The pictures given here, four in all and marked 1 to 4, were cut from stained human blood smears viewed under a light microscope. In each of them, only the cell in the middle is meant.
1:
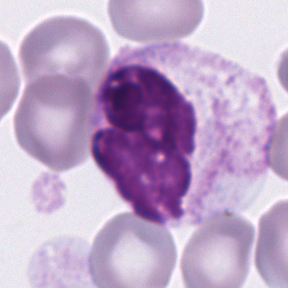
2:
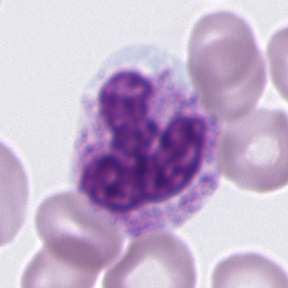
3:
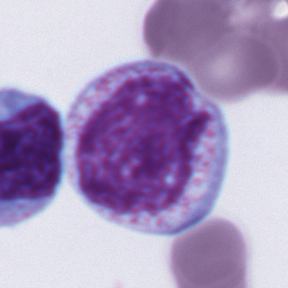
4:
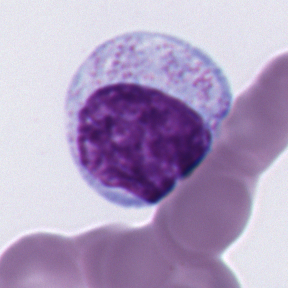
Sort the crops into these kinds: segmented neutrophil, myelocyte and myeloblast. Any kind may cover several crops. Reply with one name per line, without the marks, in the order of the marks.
segmented neutrophil
segmented neutrophil
myelocyte
myelocyte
